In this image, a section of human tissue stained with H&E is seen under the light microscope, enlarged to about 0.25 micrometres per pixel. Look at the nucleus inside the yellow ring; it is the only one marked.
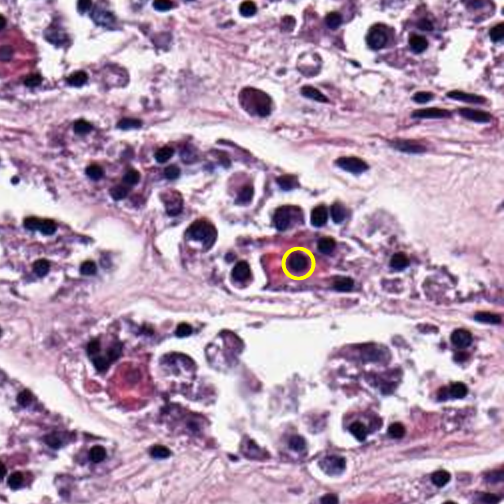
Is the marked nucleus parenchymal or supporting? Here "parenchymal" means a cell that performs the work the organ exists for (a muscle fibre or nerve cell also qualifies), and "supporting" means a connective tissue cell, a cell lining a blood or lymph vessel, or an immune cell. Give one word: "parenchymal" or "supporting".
parenchymal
